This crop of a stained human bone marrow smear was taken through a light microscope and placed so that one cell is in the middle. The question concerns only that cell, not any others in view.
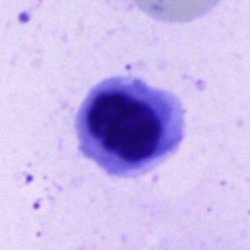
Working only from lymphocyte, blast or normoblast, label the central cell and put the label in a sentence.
In short, the cell at the center is a normoblast.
